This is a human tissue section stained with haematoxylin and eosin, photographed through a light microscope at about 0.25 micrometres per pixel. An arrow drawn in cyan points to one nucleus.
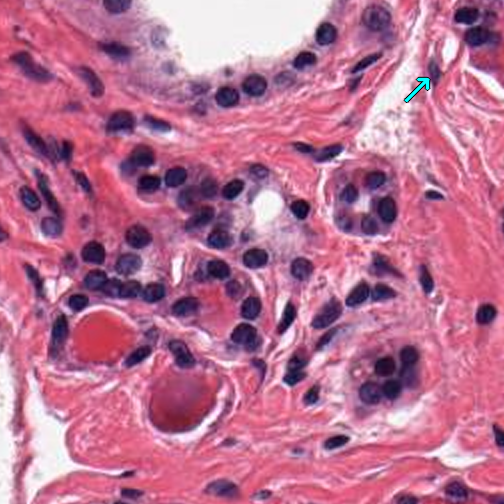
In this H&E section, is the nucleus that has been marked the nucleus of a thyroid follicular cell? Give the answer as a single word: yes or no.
no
